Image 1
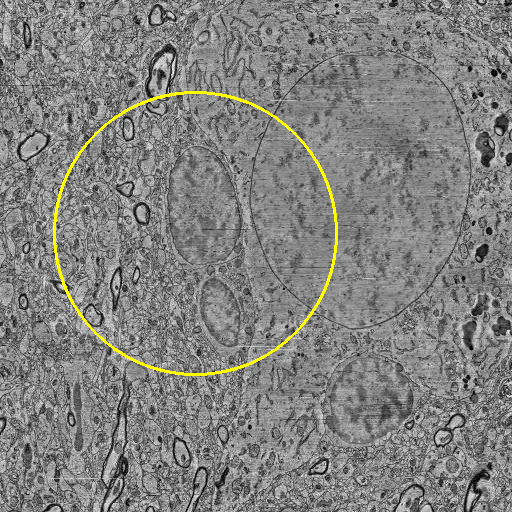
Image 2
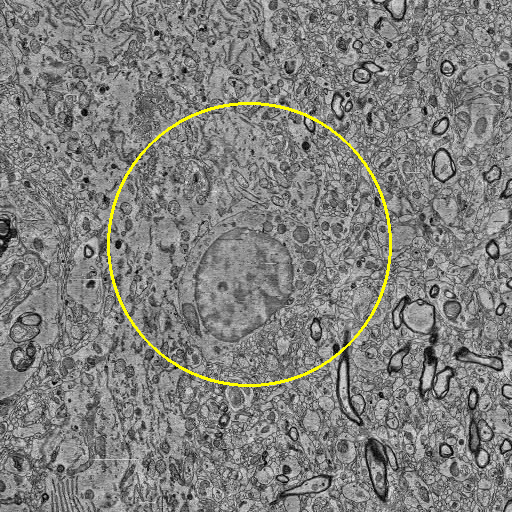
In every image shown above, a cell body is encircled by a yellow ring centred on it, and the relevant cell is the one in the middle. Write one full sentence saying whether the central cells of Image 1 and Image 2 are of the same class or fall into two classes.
The cell at the ring's centre in Image 1 and its counterpart in Image 2 are of the same class.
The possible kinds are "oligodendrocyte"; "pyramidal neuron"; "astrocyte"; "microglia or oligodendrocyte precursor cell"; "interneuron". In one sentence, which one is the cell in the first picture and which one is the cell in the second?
In each picture the ringed cell is an oligodendrocyte.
